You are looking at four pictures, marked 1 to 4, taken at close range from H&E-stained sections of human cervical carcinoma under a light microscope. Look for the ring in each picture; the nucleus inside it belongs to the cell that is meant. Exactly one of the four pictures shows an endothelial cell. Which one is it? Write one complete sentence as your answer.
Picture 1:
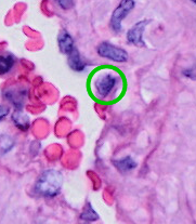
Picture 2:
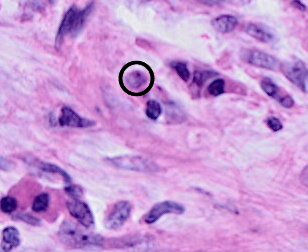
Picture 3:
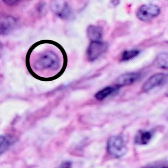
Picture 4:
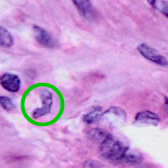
The picture with the endothelial cell is 1.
